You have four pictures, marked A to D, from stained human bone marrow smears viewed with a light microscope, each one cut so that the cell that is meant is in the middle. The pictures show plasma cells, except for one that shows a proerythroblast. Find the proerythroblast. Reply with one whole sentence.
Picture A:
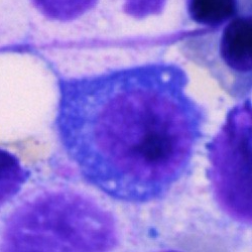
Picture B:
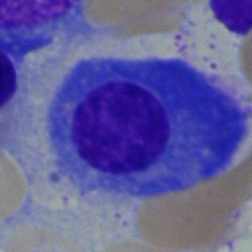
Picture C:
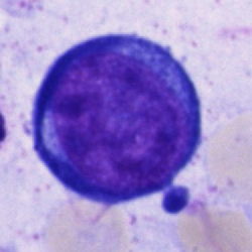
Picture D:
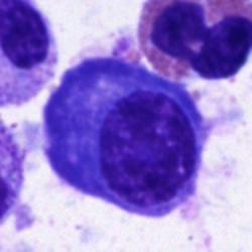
The picture with the proerythroblast is C.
